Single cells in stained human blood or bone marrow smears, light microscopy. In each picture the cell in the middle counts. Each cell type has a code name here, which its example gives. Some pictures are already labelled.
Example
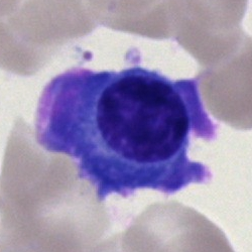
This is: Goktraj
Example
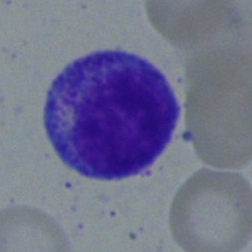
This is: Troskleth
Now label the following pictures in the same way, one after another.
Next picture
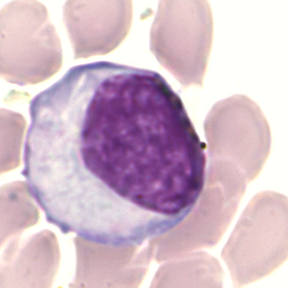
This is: Goktraj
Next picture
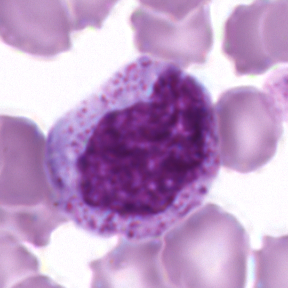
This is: Troskleth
